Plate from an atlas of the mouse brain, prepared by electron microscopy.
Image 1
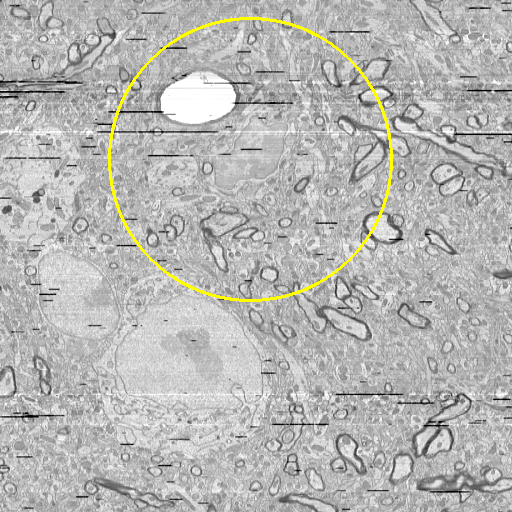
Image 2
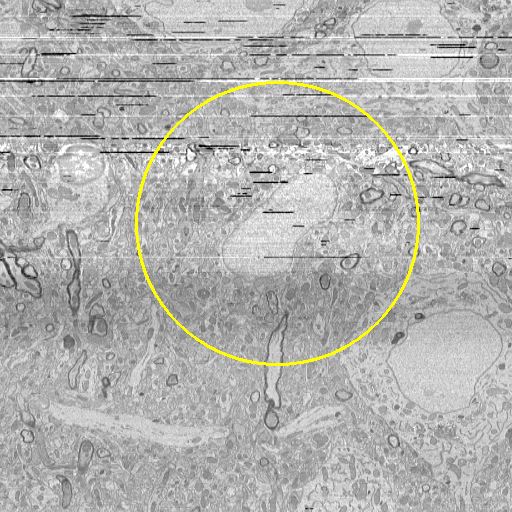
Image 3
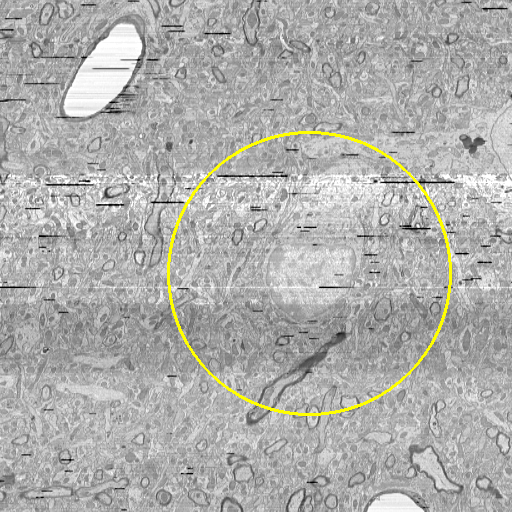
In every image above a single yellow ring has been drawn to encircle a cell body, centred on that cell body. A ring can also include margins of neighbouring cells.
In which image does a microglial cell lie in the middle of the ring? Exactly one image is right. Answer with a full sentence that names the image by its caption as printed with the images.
Image 1 holds the requested cell at the very centre of its ring.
